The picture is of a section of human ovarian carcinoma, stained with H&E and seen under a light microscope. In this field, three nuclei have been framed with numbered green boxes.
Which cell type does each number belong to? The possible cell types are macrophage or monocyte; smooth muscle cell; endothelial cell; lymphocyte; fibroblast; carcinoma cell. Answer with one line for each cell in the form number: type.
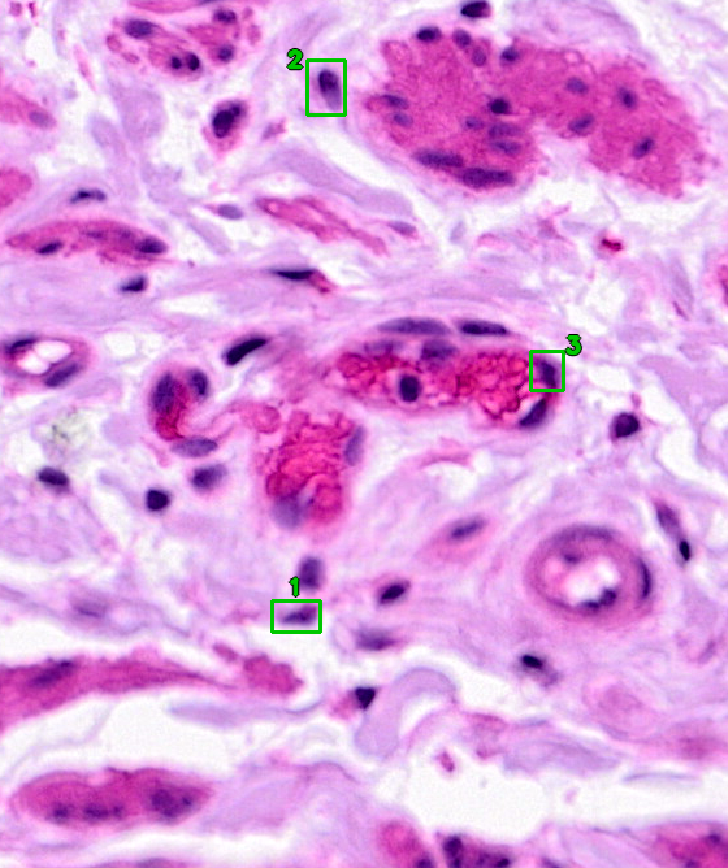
1: fibroblast
2: fibroblast
3: endothelial cell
